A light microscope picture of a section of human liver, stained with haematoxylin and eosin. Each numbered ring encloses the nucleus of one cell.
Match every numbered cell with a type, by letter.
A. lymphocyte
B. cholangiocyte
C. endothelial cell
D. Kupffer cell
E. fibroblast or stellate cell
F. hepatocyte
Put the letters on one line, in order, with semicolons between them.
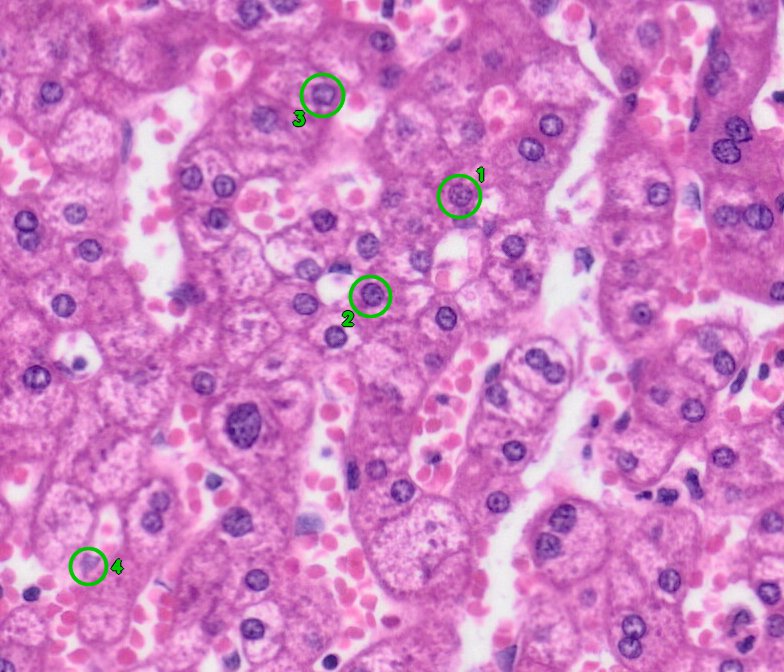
F; F; F; C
